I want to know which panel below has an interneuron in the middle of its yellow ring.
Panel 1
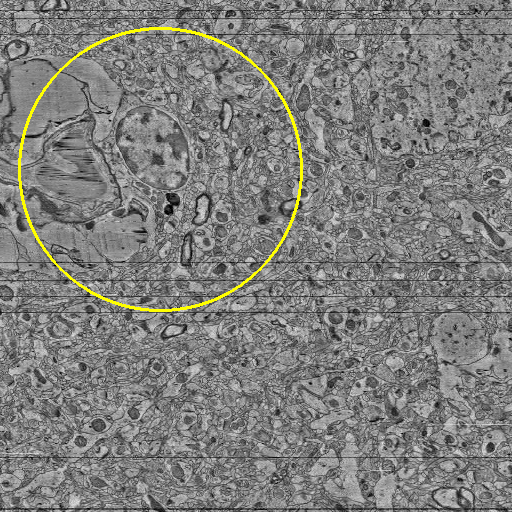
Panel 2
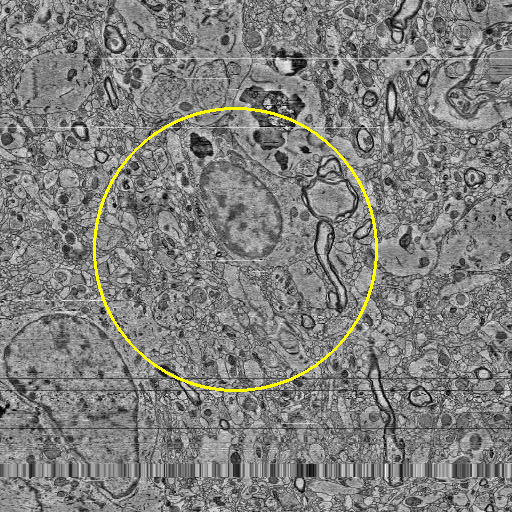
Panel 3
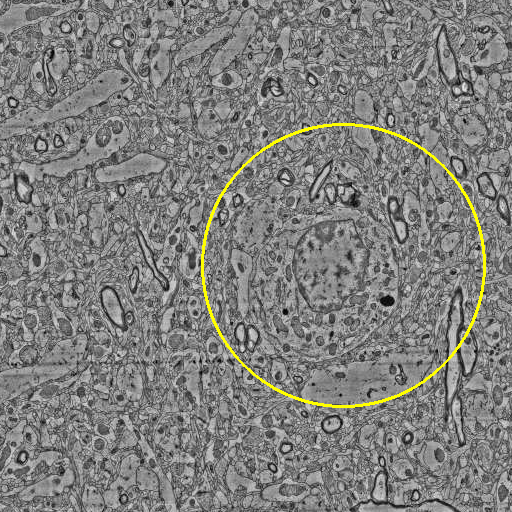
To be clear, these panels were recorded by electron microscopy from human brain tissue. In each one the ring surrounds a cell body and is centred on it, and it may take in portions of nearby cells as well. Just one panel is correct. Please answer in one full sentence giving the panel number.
Panel 3 has the requested cell sitting at the centre of its ring.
